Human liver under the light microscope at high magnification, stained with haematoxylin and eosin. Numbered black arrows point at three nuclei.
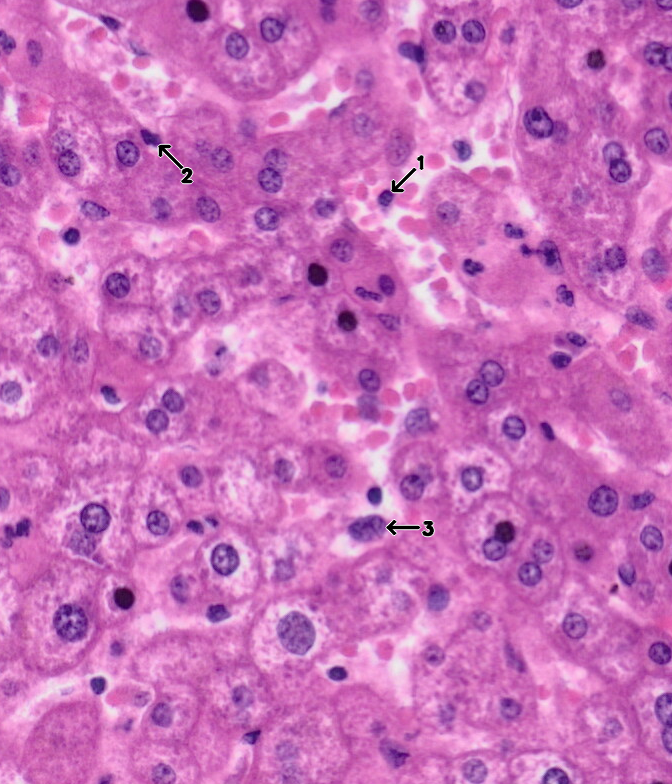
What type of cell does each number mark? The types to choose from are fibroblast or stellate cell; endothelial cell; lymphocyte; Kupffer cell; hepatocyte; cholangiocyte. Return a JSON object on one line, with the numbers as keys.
{"1": "lymphocyte", "2": "fibroblast or stellate cell", "3": "Kupffer cell"}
